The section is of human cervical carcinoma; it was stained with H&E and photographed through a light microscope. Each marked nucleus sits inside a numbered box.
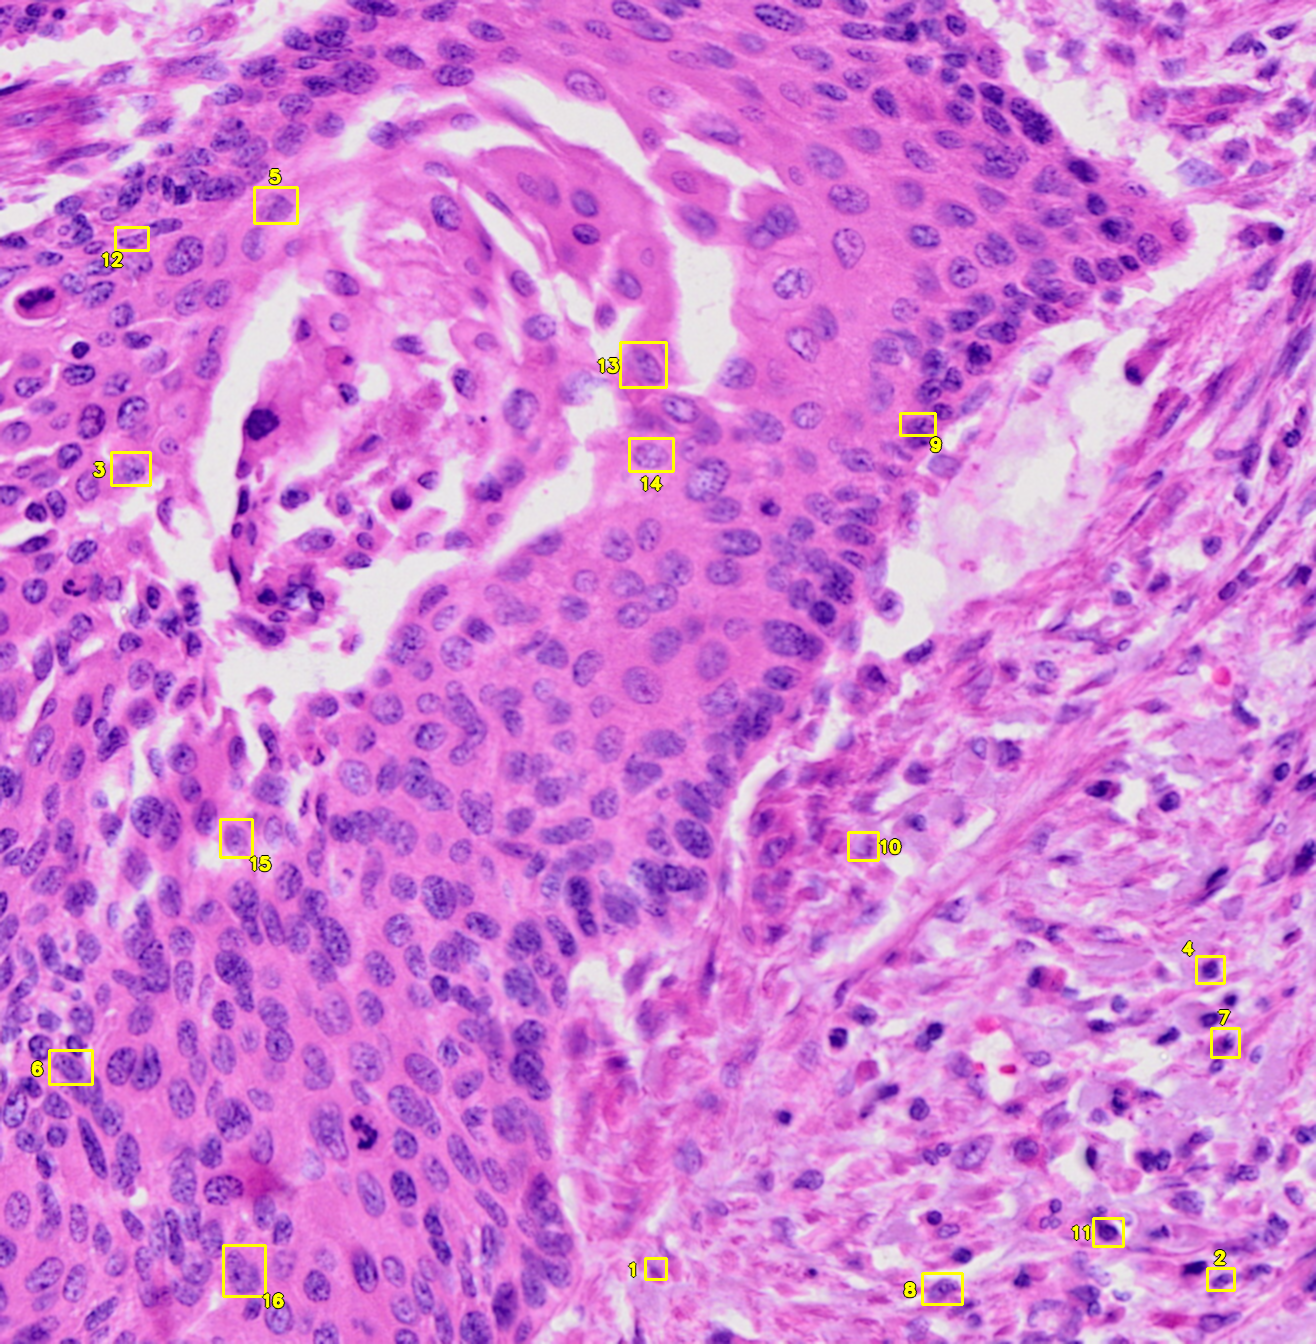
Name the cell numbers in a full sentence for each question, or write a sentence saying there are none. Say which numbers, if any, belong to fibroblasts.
The cells carrying the numbers 1 and 10 are fibroblasts.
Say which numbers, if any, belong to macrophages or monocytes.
Unlike the other numbered cells, cell 8 is a macrophage or monocyte.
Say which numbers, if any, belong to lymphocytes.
Cells 2, 4, 7 and 11 are classified as lymphocytes.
